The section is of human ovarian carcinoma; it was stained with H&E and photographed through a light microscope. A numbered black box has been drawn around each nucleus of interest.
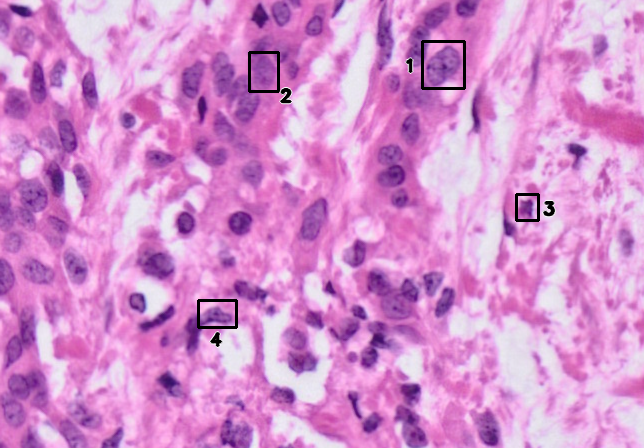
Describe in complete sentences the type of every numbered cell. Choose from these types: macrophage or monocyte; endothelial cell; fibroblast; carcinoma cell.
Cells 1 and 2 are carcinoma cells. Cell 3 is a fibroblast. Cell 4 is a macrophage or monocyte.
